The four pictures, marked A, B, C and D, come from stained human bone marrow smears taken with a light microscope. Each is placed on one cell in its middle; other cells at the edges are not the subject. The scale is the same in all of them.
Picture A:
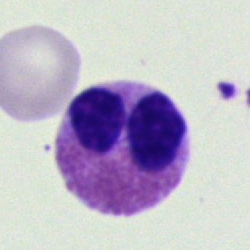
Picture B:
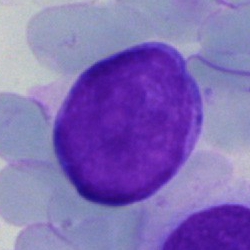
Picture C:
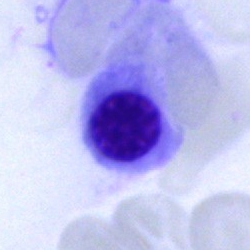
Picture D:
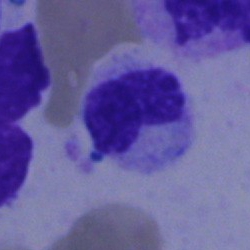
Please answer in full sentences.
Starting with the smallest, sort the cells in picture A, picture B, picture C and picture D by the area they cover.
Going up, they run C, D, A, B.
